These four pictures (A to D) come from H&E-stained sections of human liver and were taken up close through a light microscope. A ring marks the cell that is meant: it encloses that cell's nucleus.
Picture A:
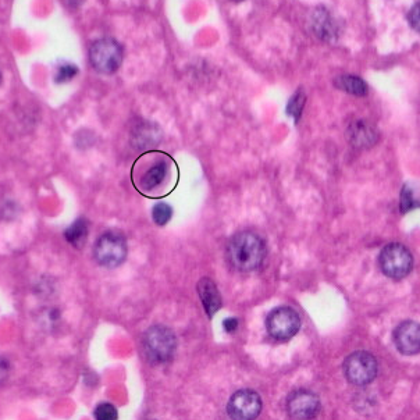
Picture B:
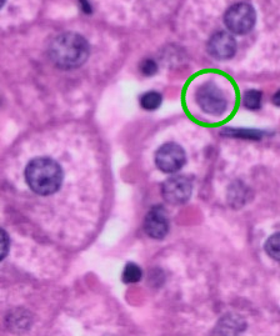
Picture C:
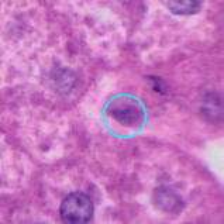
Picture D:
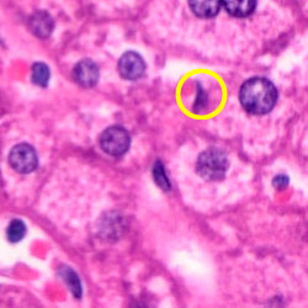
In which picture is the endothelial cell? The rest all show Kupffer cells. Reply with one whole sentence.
The endothelial cell is the one in picture D.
